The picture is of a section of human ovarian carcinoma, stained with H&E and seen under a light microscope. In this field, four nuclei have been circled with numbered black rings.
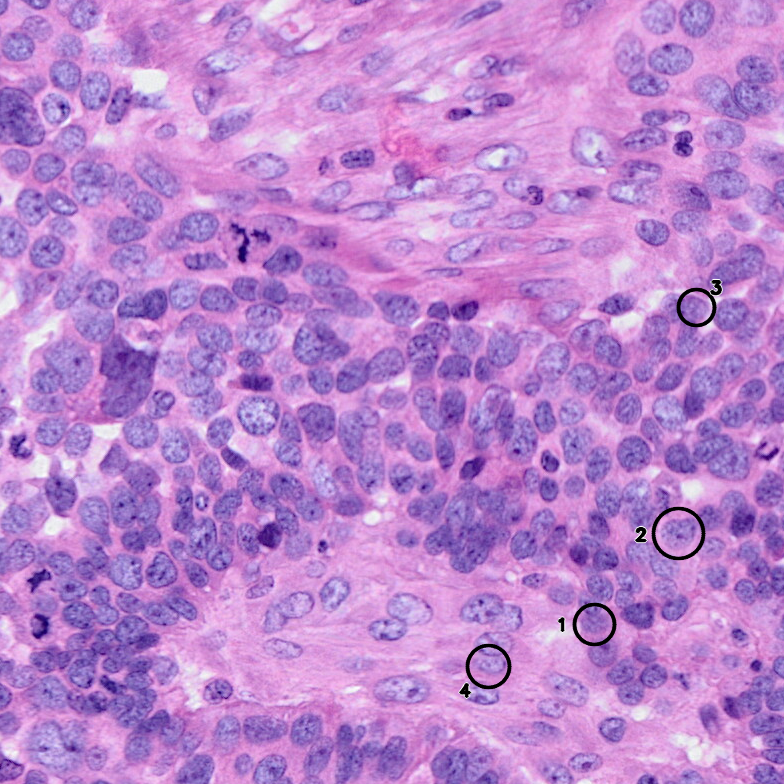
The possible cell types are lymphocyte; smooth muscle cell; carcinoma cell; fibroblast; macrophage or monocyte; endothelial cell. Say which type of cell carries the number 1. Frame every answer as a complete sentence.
The cell carrying label 1 is identified as a carcinoma cell.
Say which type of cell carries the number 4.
In this section, the cell numbered 4 is a fibroblast.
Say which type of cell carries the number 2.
The cell pointed out by number 2 is a carcinoma cell.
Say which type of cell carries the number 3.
The cell identified by the number 3 is a carcinoma cell.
